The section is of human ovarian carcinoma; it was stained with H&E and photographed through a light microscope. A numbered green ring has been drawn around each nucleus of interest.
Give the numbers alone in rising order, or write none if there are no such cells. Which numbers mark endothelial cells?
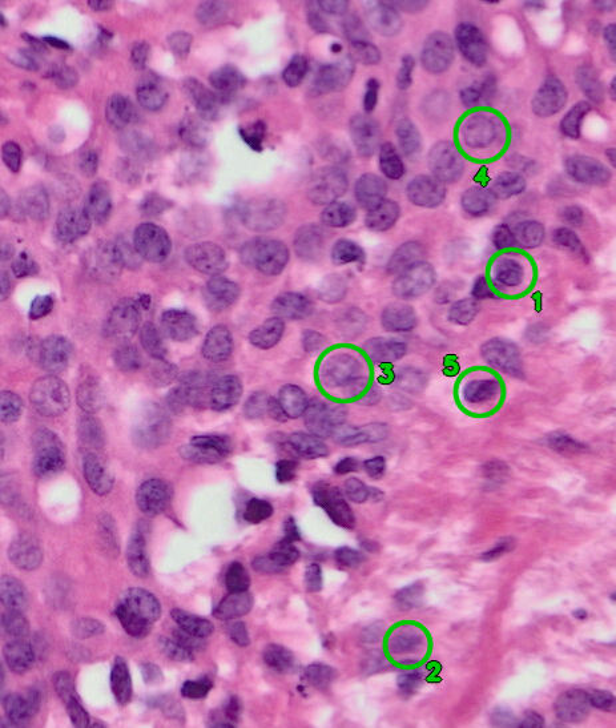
2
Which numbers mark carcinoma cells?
1, 3, 4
